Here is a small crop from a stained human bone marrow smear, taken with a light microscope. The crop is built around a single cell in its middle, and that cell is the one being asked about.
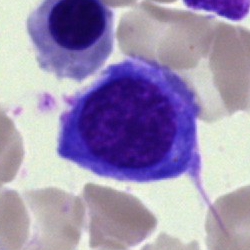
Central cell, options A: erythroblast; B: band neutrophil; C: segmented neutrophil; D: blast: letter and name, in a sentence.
Of the choices given, option A is right, as the central cell is an erythroblast.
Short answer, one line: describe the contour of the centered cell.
The border of the cell is irregular, being either ragged or extended into projections.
